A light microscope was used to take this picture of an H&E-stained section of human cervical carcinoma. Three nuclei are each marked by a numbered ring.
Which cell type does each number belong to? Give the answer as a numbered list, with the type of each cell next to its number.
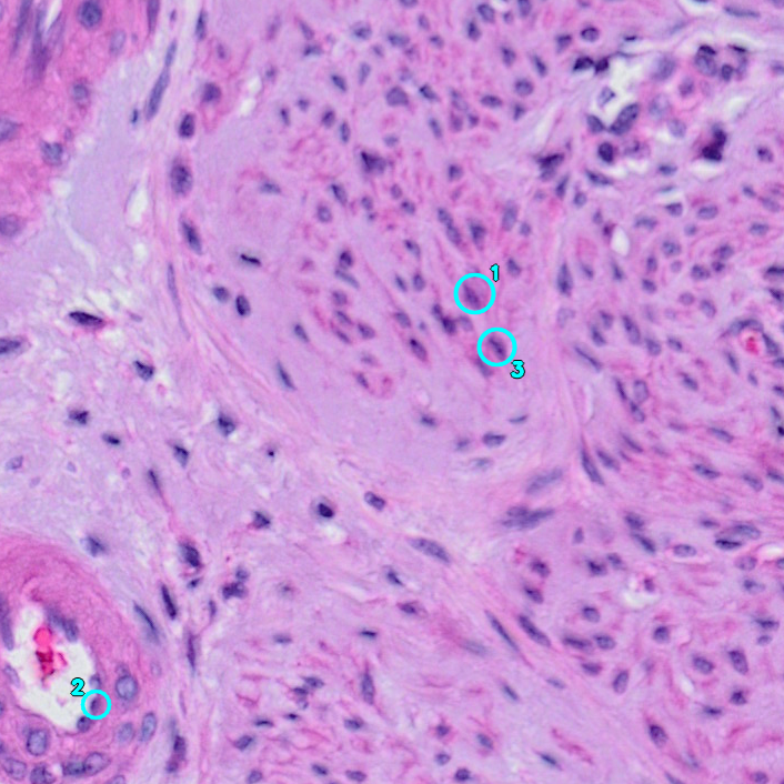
1. smooth muscle cell
2. endothelial cell
3. smooth muscle cell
